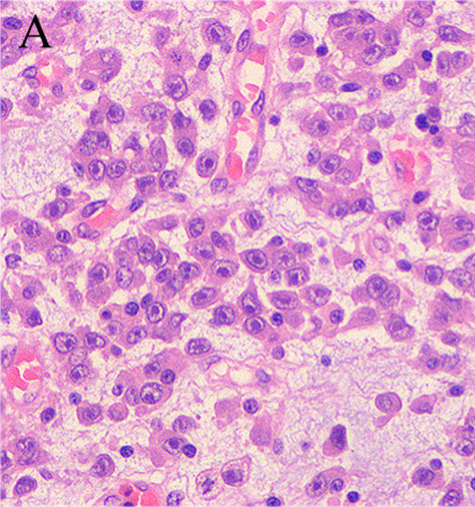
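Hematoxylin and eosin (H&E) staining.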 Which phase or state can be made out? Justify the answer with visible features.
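Cells are plump and polygonal to round rather than spindled. Cells have ample pink cytoplasm. Cells lie in loose clusters and cords.
Answer: epithelioid or rounded morphology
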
